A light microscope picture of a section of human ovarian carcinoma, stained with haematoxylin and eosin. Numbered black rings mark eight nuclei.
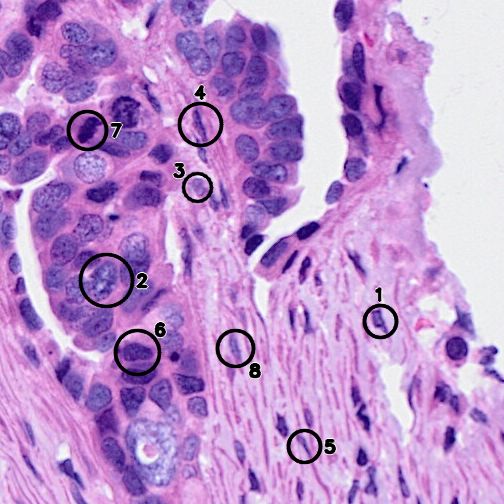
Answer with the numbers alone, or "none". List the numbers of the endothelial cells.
none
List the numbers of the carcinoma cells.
2, 6, 7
